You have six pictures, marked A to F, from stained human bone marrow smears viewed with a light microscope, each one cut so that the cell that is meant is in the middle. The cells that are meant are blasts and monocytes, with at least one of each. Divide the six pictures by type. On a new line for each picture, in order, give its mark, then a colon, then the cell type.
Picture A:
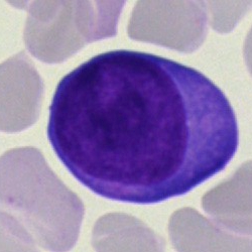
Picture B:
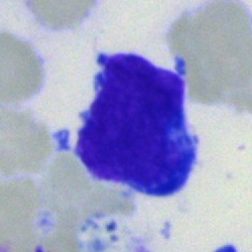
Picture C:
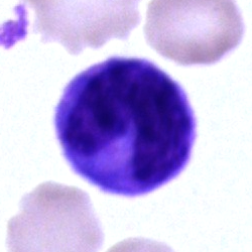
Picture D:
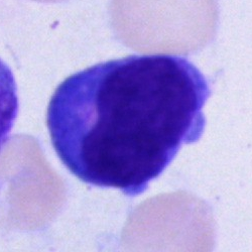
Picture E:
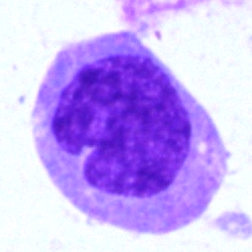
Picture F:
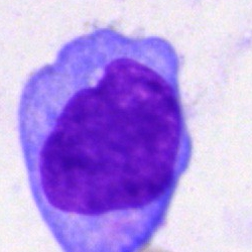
A: blast
B: blast
C: monocyte
D: blast
E: monocyte
F: blast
